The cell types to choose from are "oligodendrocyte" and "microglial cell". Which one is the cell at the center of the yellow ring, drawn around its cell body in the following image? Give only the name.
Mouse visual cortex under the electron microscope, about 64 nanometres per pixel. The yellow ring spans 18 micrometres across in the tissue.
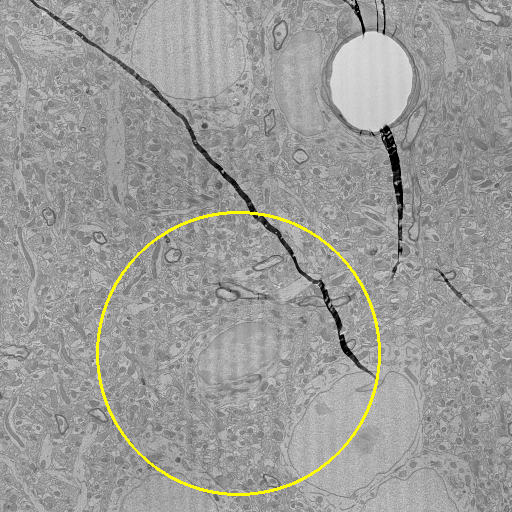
microglial cell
